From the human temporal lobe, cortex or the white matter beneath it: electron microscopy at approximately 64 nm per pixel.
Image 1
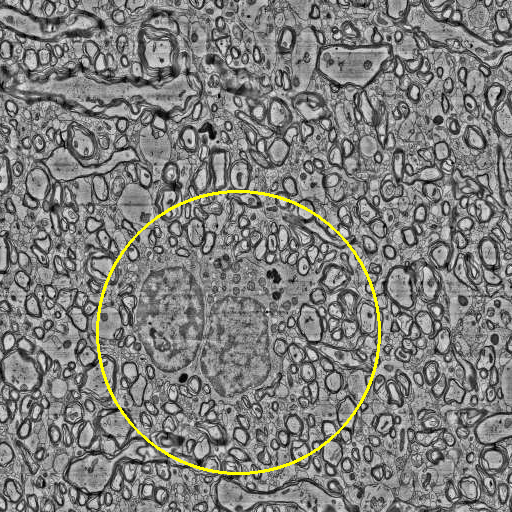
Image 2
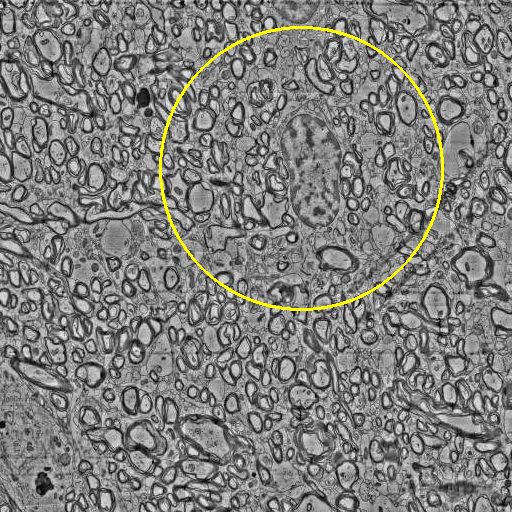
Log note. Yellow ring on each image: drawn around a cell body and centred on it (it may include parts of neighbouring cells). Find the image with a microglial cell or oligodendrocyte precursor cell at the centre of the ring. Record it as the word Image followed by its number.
Image 2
